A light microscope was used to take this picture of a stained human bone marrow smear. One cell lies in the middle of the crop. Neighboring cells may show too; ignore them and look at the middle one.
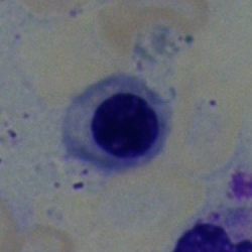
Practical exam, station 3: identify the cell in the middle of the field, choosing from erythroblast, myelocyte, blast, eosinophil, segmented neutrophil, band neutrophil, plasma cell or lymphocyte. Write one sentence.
On this slide crop, the central cell is an erythroblast.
